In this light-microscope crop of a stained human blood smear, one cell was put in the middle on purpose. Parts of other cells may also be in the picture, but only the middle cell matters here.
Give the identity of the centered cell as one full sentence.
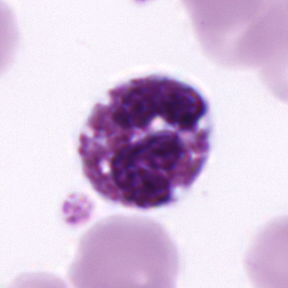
In this smear crop, the middle cell is an eosinophil.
